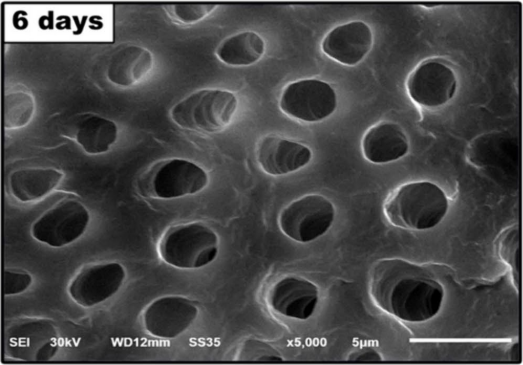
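This is a dentin surface seen at high magnification, with many dentinal tubules opening onto it. The openings are round to slightly oval, closely packed and evenly spread, and their inner walls can be seen running down into the depth. The surface between them is smooth and free of debris.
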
